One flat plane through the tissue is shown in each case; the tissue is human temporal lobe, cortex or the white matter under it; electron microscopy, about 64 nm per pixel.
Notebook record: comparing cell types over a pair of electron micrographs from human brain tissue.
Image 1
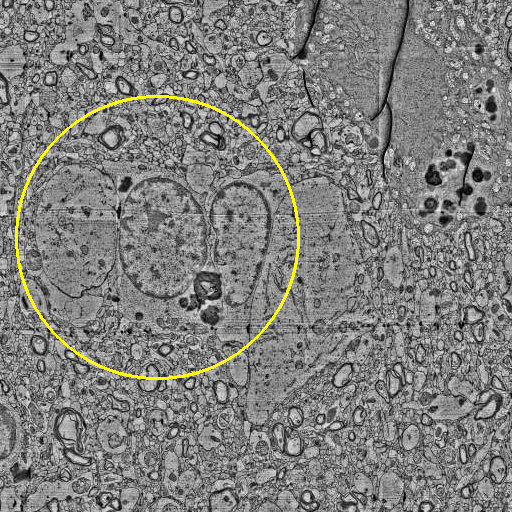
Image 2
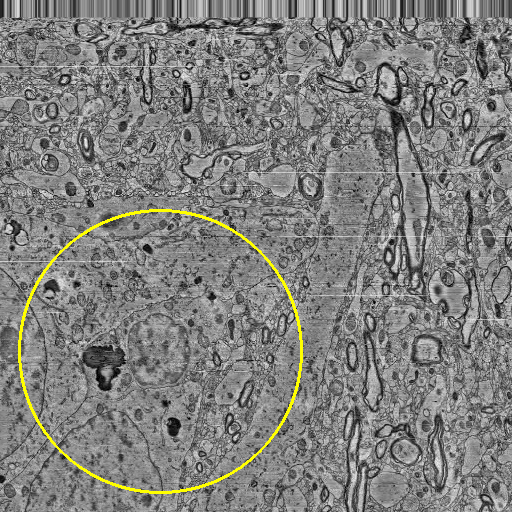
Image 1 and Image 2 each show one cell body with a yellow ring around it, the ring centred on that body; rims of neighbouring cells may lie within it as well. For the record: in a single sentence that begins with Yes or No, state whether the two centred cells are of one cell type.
Yes, one cell type is shared by the centred cells of Image 1 and Image 2.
